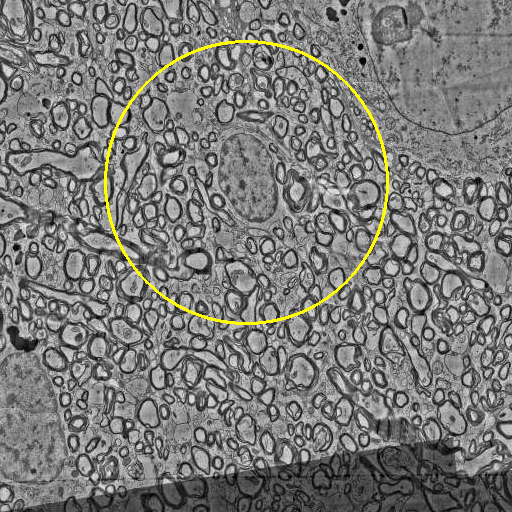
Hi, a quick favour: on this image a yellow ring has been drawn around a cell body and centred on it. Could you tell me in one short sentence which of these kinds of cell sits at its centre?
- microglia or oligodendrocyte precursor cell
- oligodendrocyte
The ring is centred on a microglial cell or oligodendrocyte precursor cell.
